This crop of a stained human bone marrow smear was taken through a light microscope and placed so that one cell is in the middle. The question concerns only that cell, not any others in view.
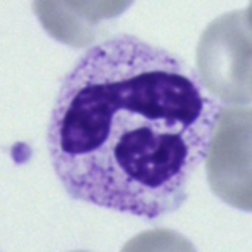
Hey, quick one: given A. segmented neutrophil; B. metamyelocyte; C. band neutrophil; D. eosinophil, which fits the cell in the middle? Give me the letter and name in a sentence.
As the central cell is a segmented neutrophil, option A is correct.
